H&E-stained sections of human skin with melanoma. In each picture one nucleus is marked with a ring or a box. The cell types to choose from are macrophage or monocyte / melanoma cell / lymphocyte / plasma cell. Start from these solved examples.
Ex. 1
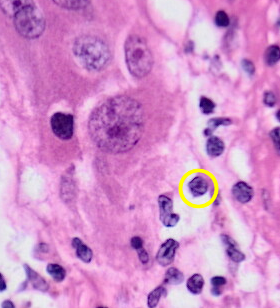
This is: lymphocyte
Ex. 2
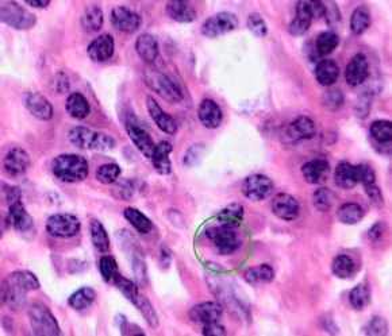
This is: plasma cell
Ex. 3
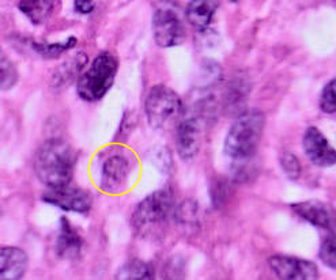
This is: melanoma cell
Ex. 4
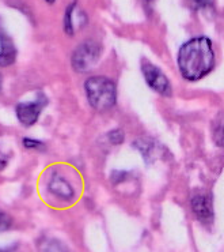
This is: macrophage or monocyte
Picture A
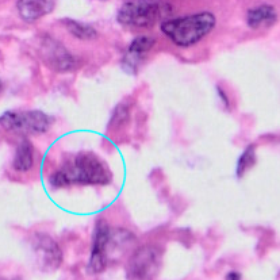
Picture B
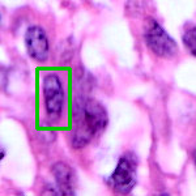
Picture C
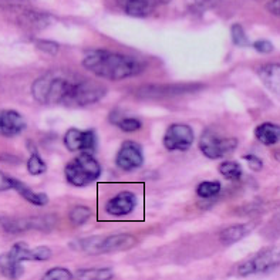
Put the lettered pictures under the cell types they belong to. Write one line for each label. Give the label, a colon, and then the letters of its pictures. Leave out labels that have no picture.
melanoma cell: A, B
lymphocyte: C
